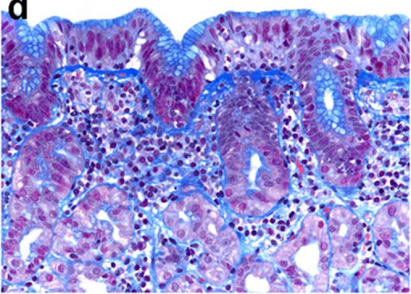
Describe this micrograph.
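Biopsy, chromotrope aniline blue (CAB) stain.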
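Surface and pit epithelium is tall columnar with pale apical mucin and purple-red cytoplasm. Directly beneath the surface a continuous blue band runs along the epithelium, uneven in thickness and thicker than the fine blue strands that outline the glands. The lamina propria between glands is crowded with small round inflammatory cells with dark nuclei. Glands cut across below have reddish-purple cytoplasm and small lumina.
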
